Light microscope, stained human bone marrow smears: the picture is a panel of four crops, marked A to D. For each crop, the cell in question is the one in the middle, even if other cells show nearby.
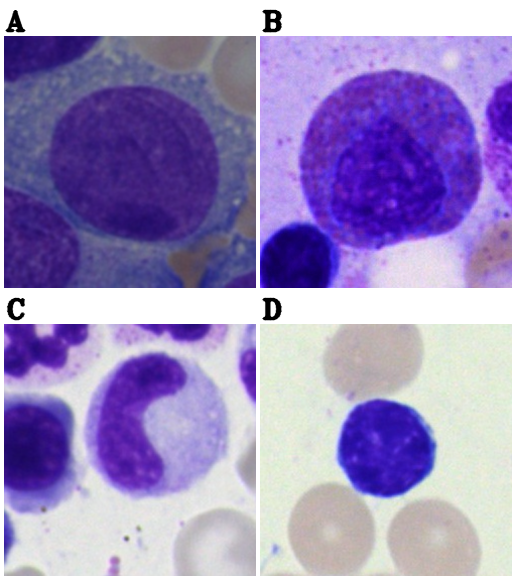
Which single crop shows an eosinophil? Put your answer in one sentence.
Crop B is the correct crop, and it shows an eosinophil.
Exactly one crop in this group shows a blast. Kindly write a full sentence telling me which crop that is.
So the crop with a blast at its center is crop A.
